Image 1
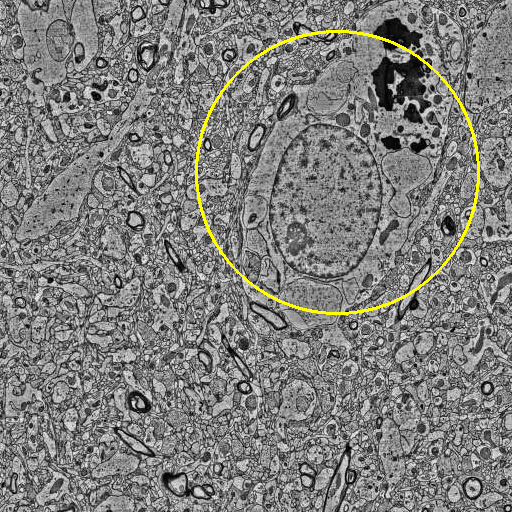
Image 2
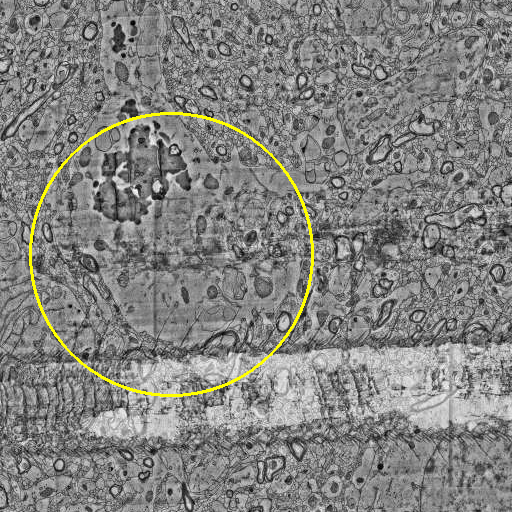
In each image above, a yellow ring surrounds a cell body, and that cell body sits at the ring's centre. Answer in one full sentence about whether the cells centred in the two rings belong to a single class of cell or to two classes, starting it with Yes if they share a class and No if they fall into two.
Yes, the cells centred in the two yellow rings belong to a single class of cell.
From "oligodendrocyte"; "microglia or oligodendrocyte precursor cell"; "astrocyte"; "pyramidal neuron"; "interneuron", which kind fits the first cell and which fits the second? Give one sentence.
Each cell at the centre of a ring is an astrocyte.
